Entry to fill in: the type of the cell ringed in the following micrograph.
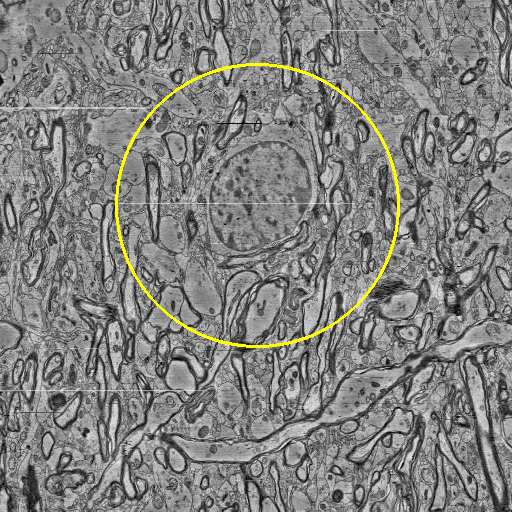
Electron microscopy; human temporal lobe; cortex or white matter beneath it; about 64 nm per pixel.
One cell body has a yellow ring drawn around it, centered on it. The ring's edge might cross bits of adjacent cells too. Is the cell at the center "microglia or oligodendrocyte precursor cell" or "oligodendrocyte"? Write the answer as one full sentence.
This entry names a microglial cell or oligodendrocyte precursor cell as the cell whose body lies at the ring's center.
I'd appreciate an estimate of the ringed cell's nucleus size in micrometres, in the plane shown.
In this plane the nucleus measures roughly 8 by 6 micrometers.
